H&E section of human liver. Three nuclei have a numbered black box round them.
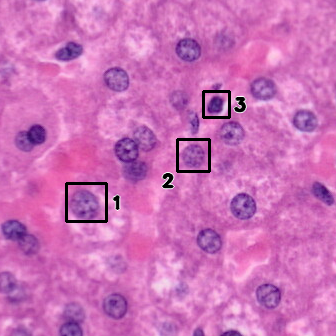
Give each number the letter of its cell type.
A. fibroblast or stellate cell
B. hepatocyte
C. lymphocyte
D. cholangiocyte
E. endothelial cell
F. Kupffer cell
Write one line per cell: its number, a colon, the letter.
1: B
2: B
3: C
